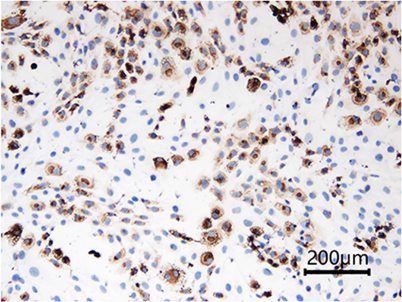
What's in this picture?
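Many cells show brown staining of the cytoplasm, forming a ring or cap around a pale or blue nucleus, and some are stained dark brown throughout. Other cells show only a blue oval nucleus with little or no brown around it. The brown-stained cells are rounded to polygonal and cluster more in some areas than others, while the unstained ones sit between them. The background between cells is pale.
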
